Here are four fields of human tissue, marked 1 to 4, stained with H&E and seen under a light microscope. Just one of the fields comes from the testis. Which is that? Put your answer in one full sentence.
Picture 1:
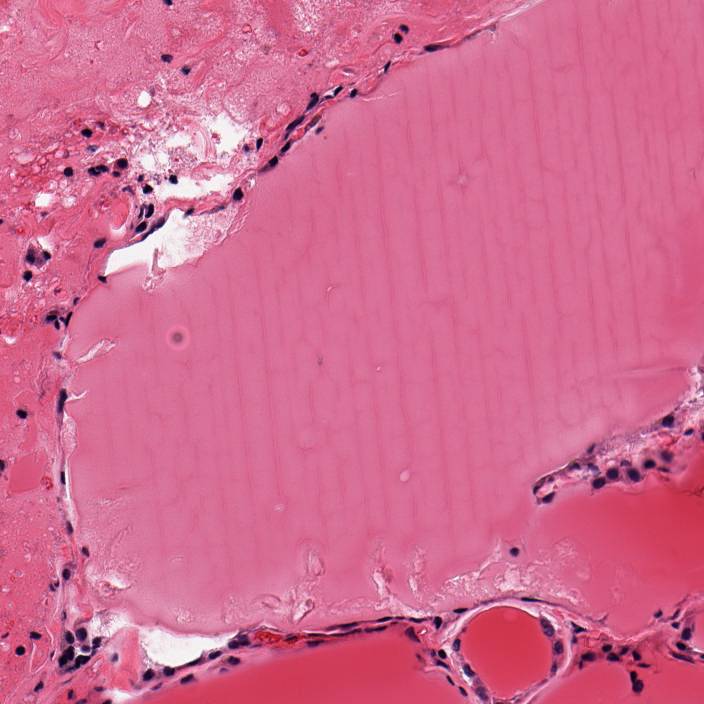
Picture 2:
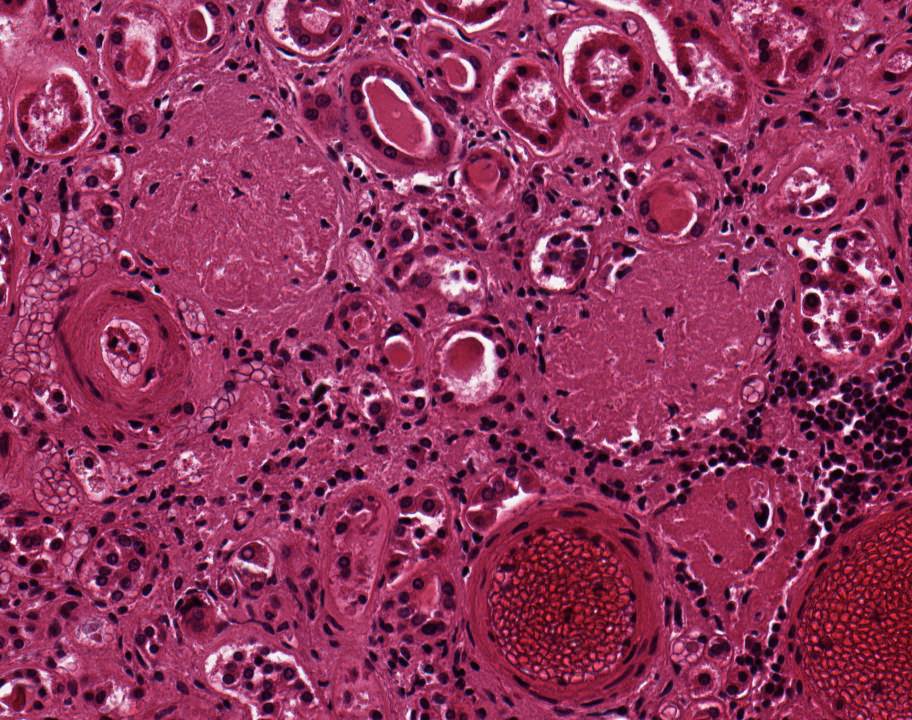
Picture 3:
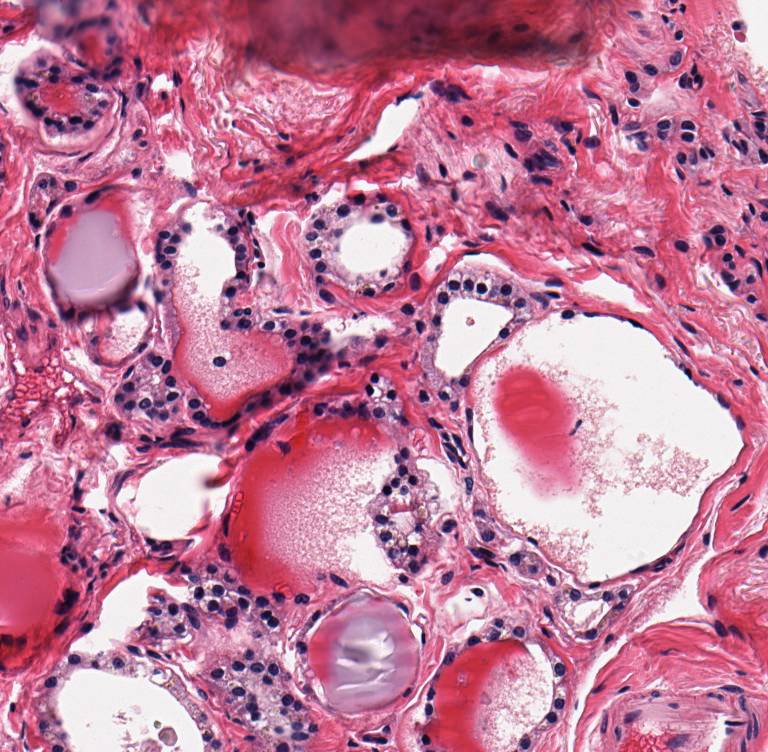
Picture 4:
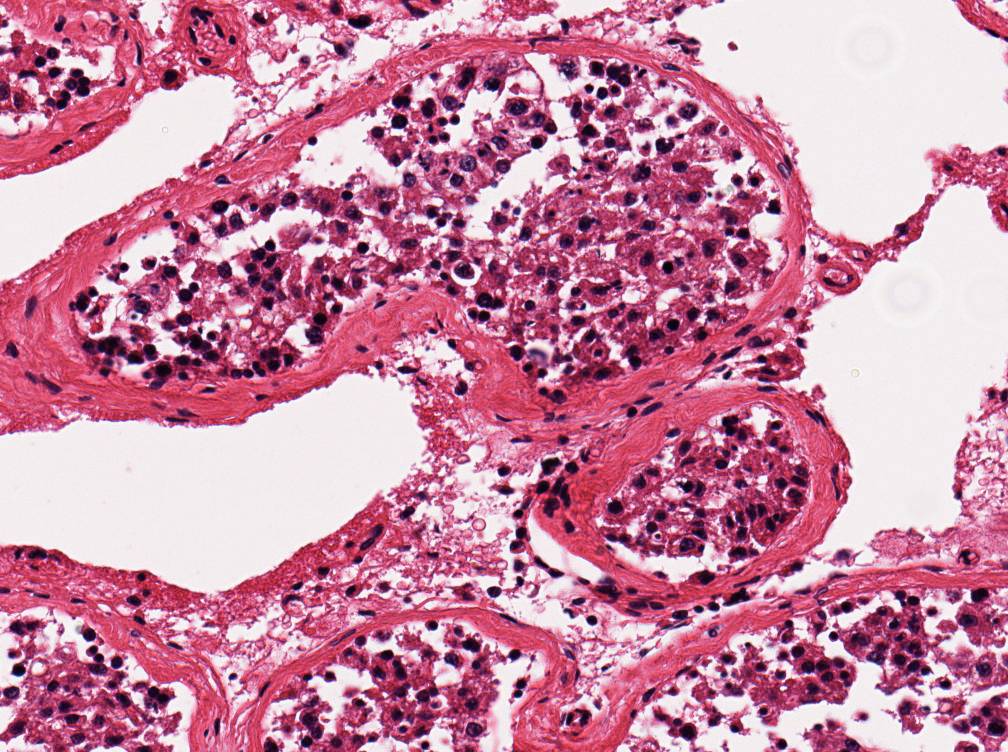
The one that comes from the testis is picture 4.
